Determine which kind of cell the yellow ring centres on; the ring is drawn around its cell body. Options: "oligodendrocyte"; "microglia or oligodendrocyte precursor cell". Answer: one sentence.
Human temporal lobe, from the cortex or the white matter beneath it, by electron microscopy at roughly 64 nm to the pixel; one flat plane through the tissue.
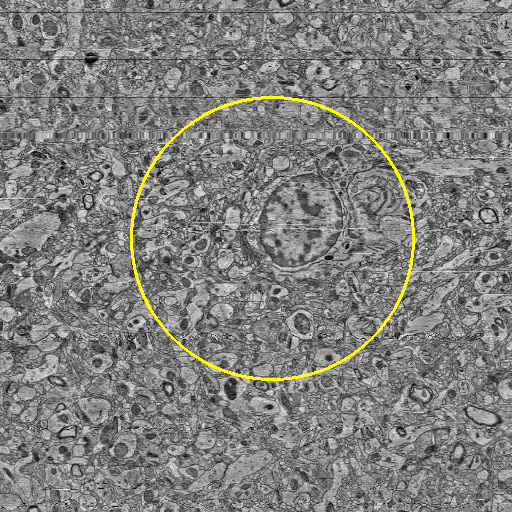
The ring centres on a microglial cell or oligodendrocyte precursor cell.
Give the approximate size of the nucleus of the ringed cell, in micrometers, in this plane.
In this plane, about 7 micrometres in length and 6 in width.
